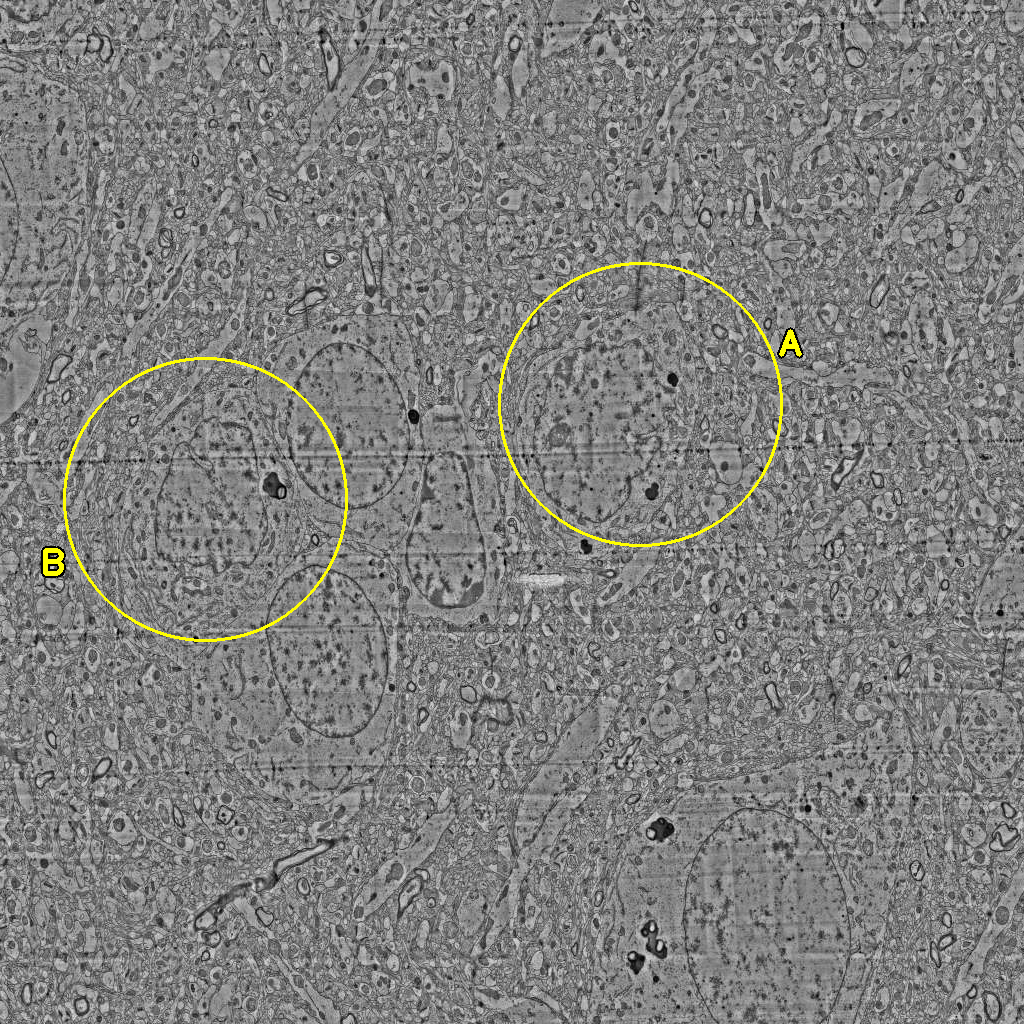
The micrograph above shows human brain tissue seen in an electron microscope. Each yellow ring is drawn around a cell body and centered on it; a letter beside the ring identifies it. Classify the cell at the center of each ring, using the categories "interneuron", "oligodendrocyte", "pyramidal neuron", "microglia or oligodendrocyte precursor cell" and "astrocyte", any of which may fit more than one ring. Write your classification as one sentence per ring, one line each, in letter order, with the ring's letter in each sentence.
Ring A is centered on an interneuron.
Ring B is centered on an interneuron.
